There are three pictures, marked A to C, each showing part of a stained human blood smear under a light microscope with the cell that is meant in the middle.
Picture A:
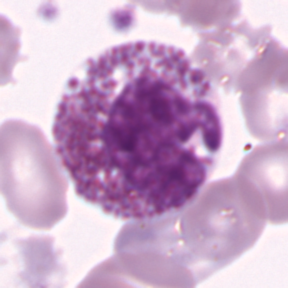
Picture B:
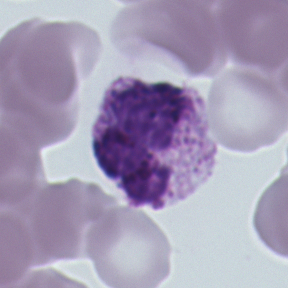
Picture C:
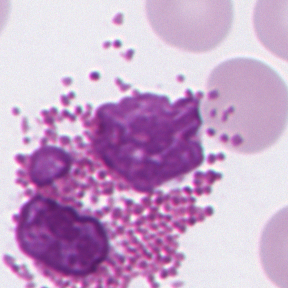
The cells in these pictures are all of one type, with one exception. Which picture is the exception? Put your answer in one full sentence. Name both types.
The others show eosinophils, but picture B shows a basophil.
